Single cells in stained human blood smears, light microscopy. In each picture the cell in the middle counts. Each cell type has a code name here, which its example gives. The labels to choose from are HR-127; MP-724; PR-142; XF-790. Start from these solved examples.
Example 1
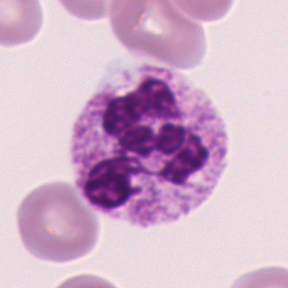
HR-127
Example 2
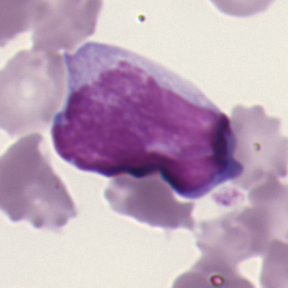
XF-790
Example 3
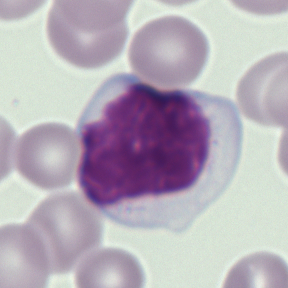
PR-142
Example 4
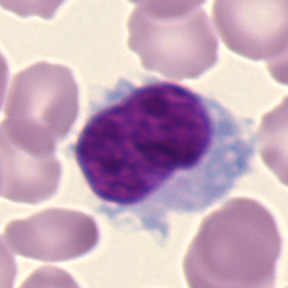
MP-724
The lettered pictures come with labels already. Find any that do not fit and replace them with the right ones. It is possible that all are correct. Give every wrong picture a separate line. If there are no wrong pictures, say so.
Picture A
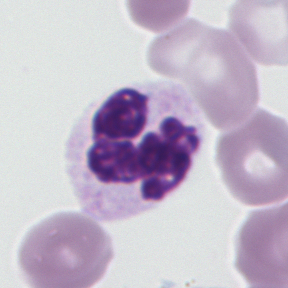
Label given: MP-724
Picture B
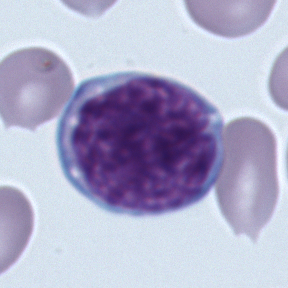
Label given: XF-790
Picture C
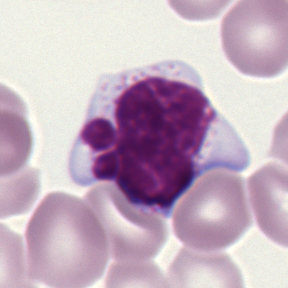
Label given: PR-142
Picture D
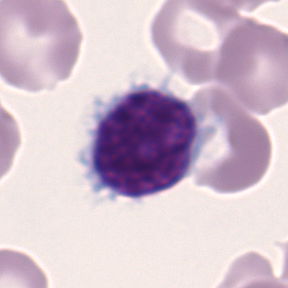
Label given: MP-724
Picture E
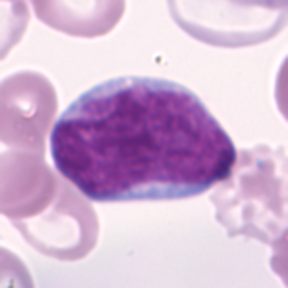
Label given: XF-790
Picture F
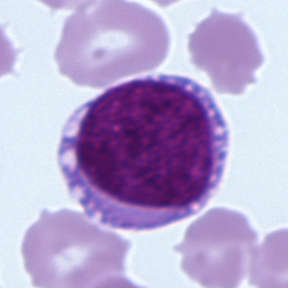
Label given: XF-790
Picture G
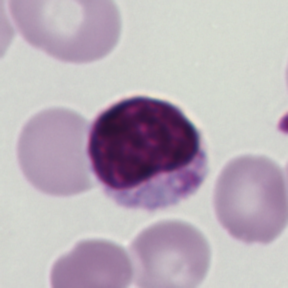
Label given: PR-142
A is labelled MP-724; correct label: HR-127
